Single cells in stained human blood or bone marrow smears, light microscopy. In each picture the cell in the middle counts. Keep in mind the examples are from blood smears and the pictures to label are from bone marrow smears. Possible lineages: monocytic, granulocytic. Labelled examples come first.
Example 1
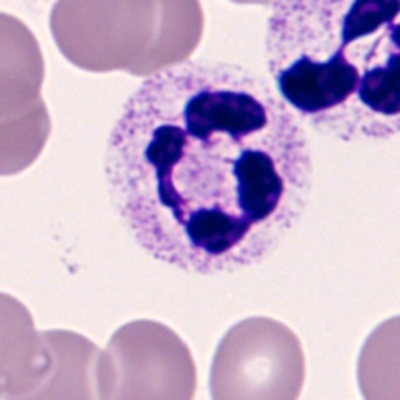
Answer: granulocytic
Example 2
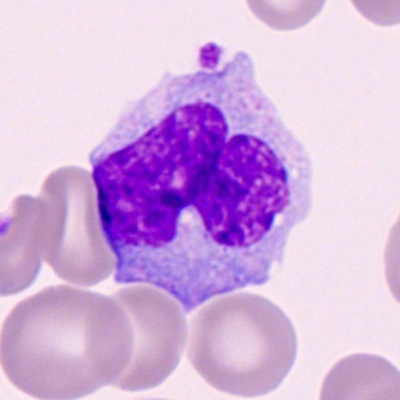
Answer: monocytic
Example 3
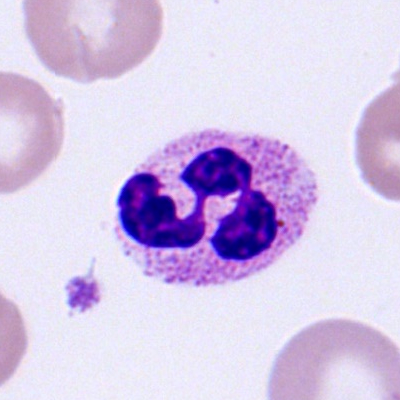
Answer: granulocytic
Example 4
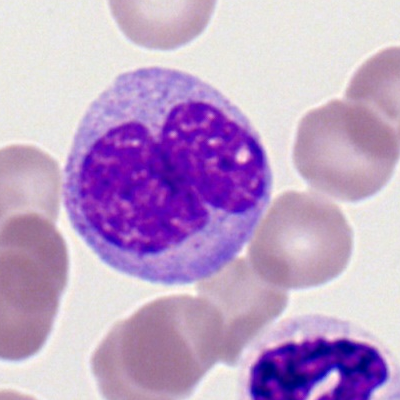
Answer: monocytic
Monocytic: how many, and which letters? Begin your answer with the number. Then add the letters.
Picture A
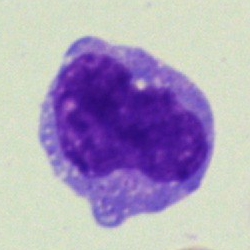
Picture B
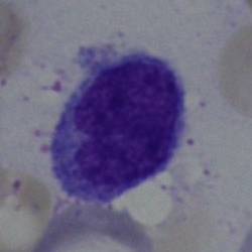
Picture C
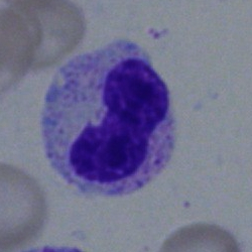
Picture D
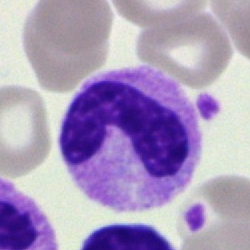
2: A, B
